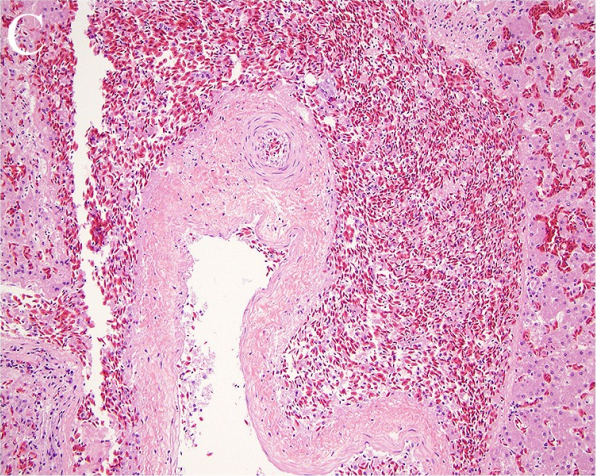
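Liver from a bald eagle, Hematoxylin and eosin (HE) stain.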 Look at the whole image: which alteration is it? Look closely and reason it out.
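Hemorrhage. Sheets of small red-orange cells fill the tissue around a central vessel. The red cells extend into the surrounding pale pink tissue.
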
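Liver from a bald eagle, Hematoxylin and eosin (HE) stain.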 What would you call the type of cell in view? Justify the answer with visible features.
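Numerous small, bright red-orange cells packed densely. Many of the red cells show small dark nuclei.
Erythrocytes.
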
